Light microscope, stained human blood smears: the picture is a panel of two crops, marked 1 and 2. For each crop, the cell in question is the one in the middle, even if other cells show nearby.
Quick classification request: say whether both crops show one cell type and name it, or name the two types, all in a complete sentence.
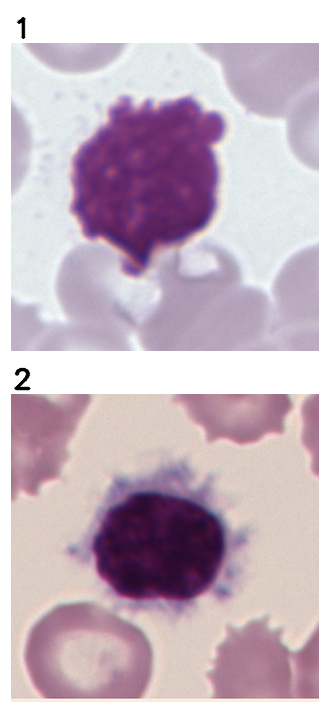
No, crop 1 is of a smudge cell, and crop 2 is of a hairy cell.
